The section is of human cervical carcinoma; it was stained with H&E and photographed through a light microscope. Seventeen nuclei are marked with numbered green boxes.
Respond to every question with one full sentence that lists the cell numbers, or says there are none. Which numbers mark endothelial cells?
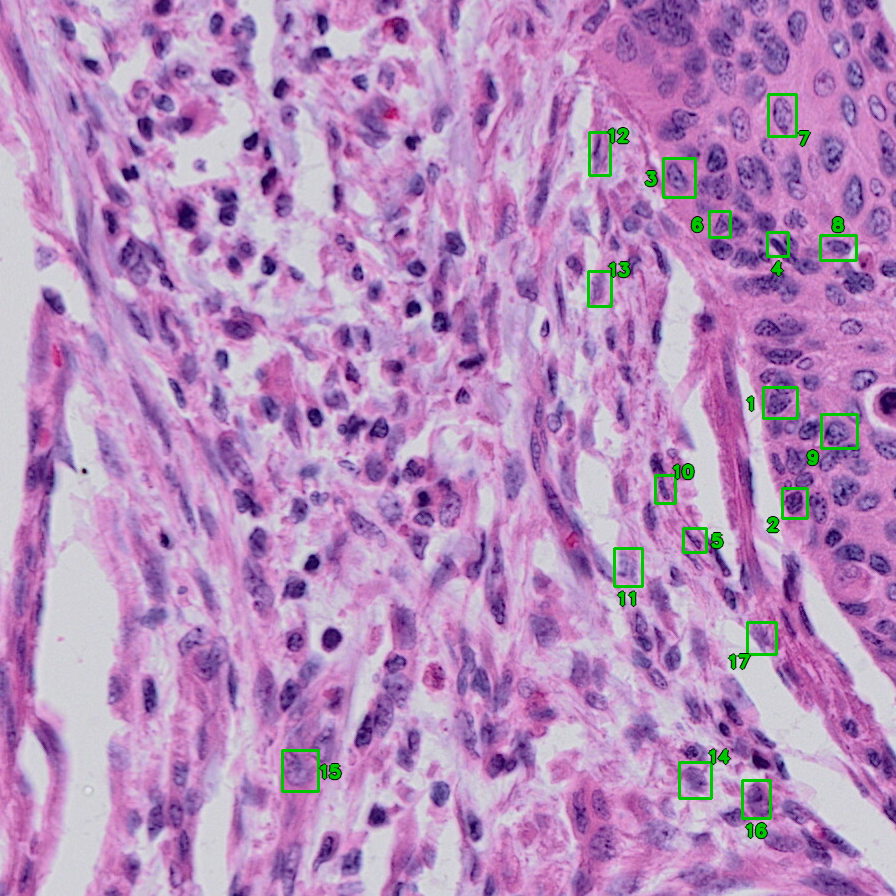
Of all the numbered cells, only one is an endothelial cell, and that is cell 15.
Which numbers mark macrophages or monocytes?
Nothing but cell 16 is a macrophage or monocyte among the numbered ones.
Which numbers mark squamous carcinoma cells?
The cells that the numbers 1, 2, 3, 4, 6, 7, 8 and 9 belong to are squamous carcinoma cells.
